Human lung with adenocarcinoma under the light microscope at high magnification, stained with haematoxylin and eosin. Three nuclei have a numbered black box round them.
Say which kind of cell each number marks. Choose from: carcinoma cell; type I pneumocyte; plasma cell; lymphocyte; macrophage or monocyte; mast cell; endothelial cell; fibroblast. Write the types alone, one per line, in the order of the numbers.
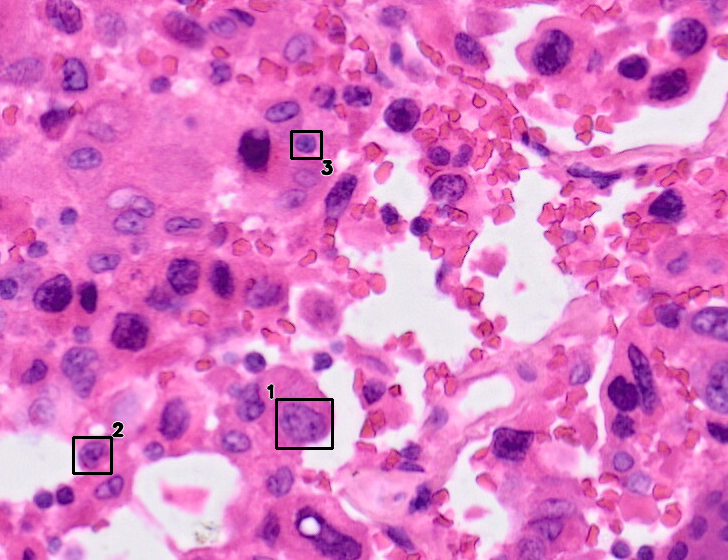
carcinoma cell
macrophage or monocyte
lymphocyte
